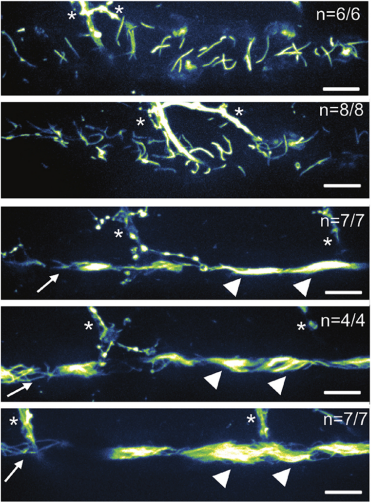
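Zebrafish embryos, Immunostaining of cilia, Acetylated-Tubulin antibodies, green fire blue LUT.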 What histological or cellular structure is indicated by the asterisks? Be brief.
Motor axons.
